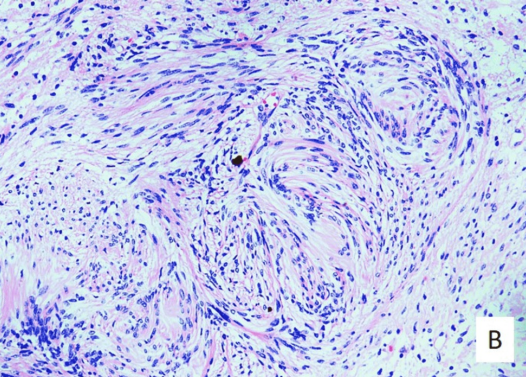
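This is a cellular spindle cell tumour in which the cells are arranged in whorls. The cells are elongated, with slender, dark-staining, tapered nuclei and ill-defined pale pink cytoplasm. They sweep in curved bundles that wrap concentrically around several centres, giving a swirling pattern. Between the bundles lies loose pale pink collagenous stroma, and cellularity varies from denser to looser areas.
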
